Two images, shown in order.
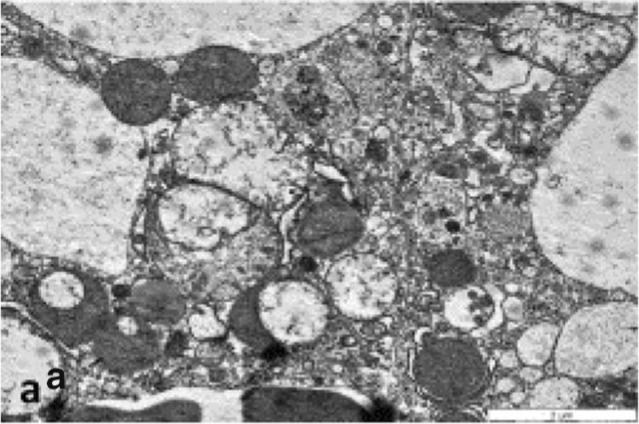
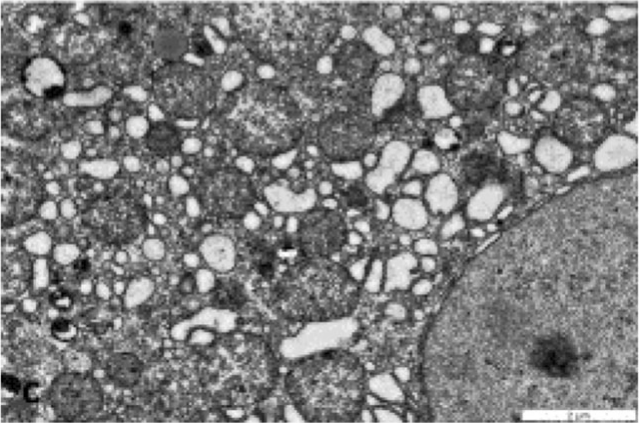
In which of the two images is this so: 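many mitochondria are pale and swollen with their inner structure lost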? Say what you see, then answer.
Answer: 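First image: several round organelles are pale and washed-out beside others that are dark and dense. On this evidence: the first image.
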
